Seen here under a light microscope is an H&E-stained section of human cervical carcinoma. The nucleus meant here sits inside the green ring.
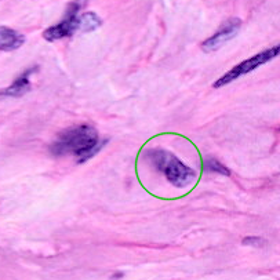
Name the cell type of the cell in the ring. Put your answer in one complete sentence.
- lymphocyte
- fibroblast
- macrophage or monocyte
It is a fibroblast that the cell in the ring represents.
